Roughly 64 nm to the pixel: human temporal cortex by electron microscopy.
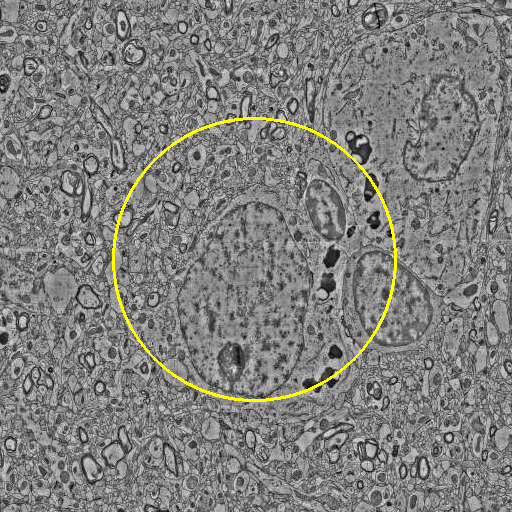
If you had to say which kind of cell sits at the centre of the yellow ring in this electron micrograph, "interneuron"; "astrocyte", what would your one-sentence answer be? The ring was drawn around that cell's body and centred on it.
The cell sitting at the centre of the ring is an interneuron.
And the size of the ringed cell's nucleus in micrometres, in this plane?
In this plane, roughly 12 by 8 micrometres.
